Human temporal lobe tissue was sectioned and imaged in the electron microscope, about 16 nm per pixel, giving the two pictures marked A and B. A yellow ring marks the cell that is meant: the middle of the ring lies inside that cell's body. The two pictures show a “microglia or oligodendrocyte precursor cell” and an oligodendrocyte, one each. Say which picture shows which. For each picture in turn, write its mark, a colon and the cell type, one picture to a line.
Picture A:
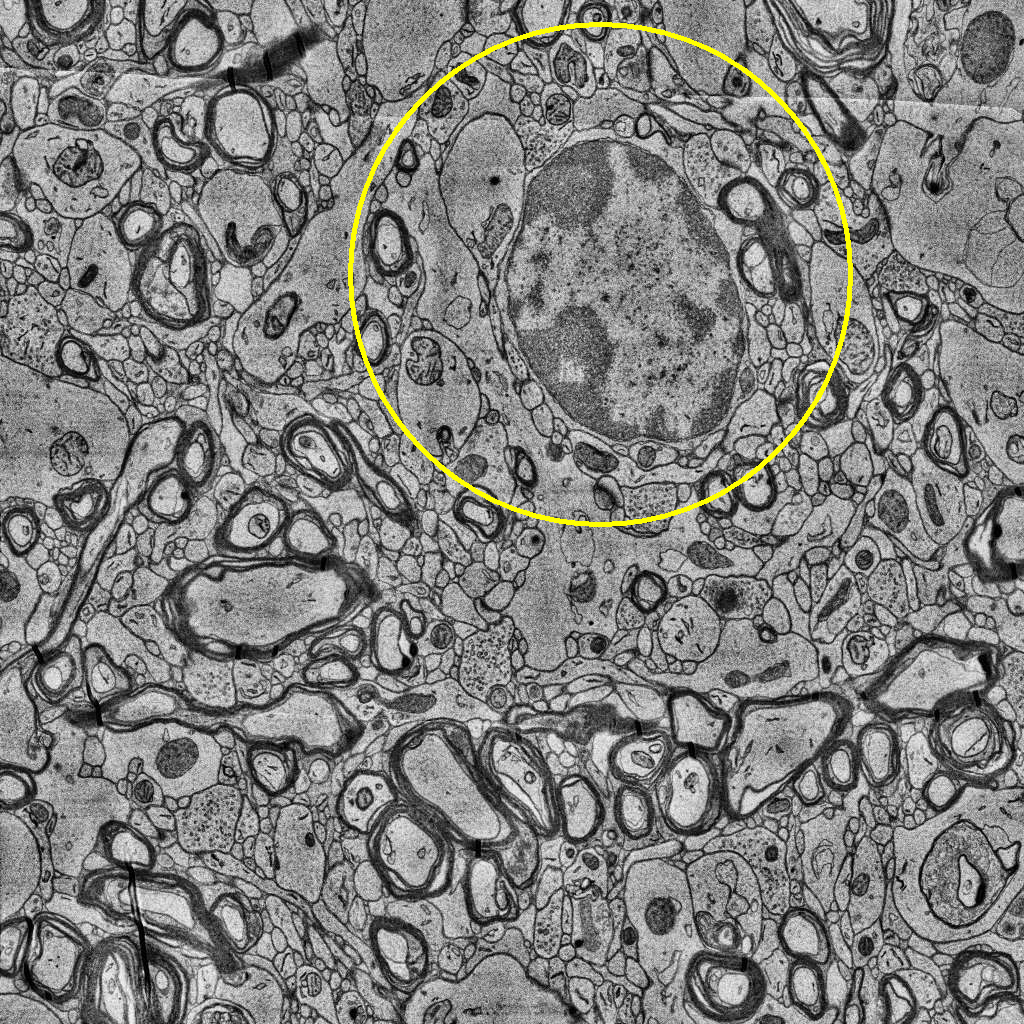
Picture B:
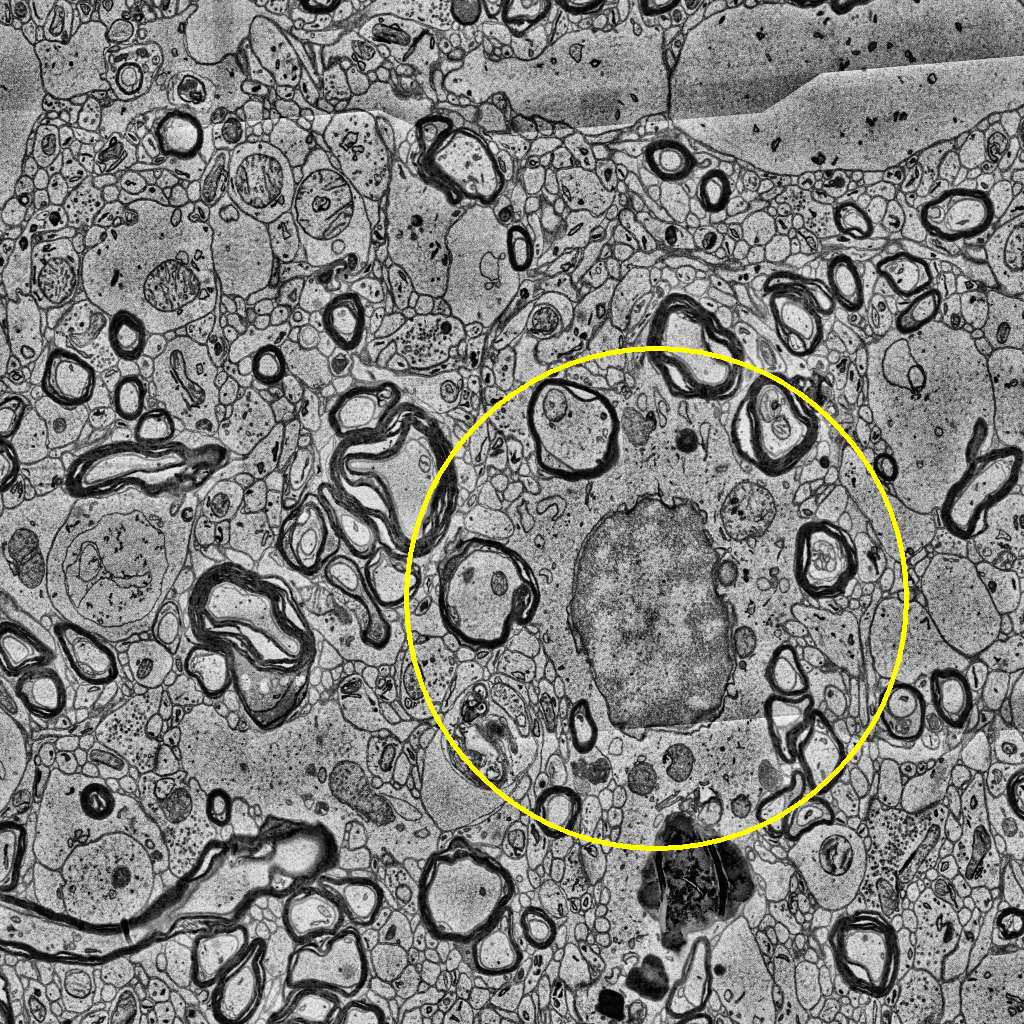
A: microglia or oligodendrocyte precursor cell
B: oligodendrocyte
